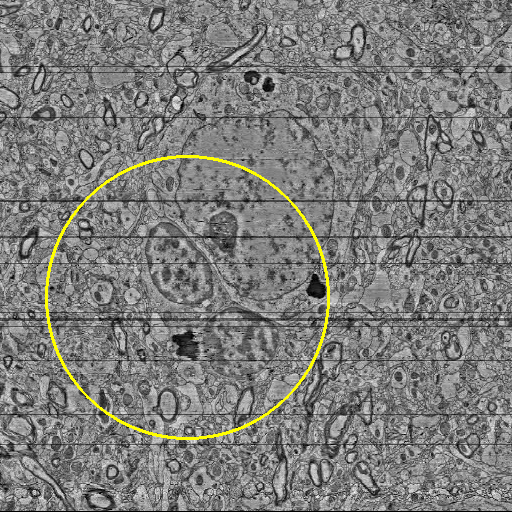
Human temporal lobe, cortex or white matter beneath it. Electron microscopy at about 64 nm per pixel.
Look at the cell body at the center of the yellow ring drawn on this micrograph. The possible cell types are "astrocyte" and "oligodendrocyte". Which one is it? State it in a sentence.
The cell in the middle of the ring is an oligodendrocyte.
